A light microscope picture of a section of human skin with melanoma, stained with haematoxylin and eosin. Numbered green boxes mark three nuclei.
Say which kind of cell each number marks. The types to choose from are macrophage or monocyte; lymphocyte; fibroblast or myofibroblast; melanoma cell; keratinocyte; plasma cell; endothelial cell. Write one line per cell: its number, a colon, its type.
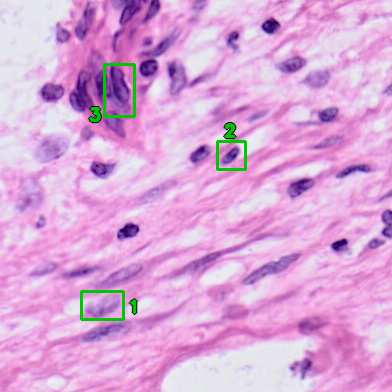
1: fibroblast or myofibroblast
2: lymphocyte
3: endothelial cell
